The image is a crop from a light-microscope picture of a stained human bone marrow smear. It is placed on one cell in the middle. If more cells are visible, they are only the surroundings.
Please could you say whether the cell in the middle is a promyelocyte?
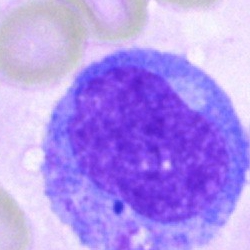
yes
